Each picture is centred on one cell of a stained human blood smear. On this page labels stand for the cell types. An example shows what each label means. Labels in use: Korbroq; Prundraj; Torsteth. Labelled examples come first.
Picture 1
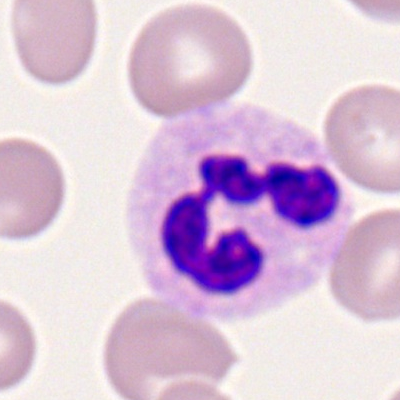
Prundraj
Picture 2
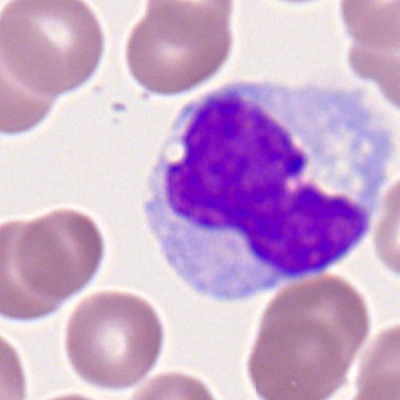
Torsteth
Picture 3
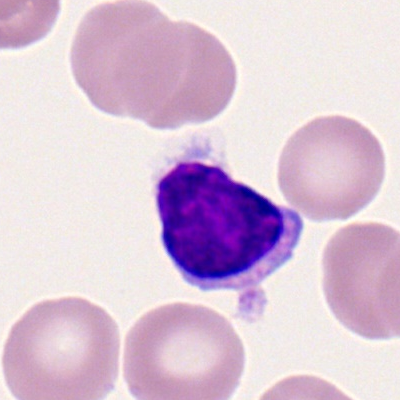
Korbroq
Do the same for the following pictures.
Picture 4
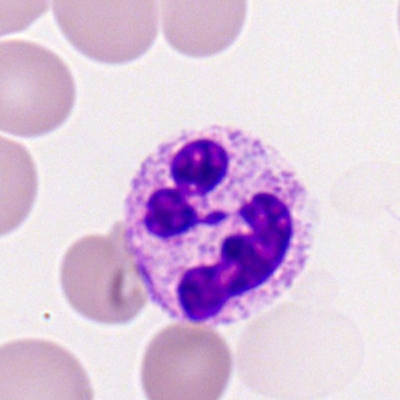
Prundraj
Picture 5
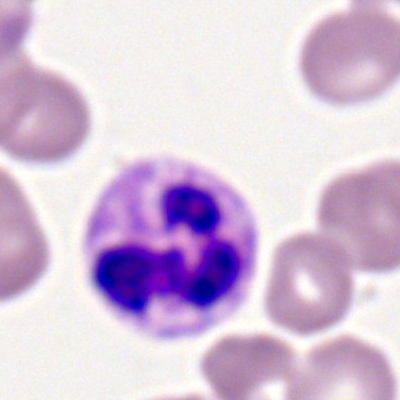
Prundraj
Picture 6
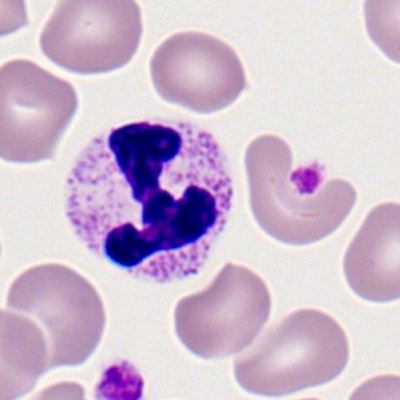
Prundraj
